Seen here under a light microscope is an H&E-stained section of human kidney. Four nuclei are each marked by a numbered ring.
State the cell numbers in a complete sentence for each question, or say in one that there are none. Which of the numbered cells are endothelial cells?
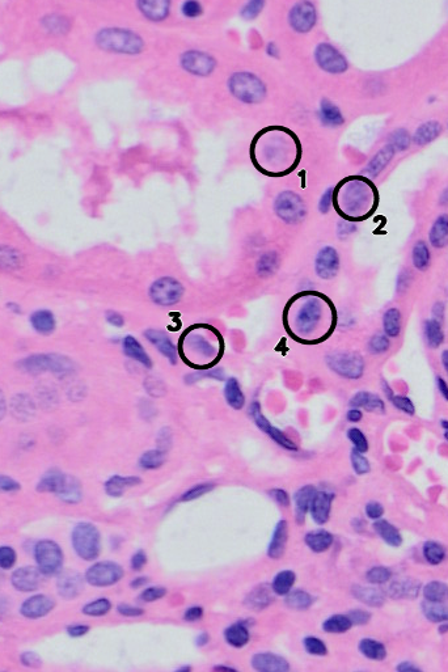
There is only one numbered cell that is an endothelial cell, and it is cell 3.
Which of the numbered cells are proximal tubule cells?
Among the cells marked with numbers, the only one that is a proximal tubule cell is number 1.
